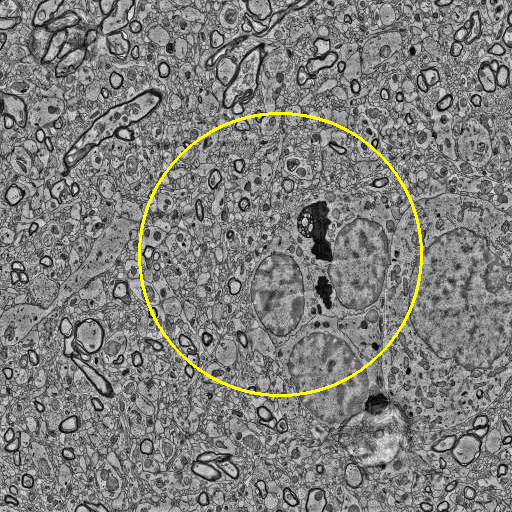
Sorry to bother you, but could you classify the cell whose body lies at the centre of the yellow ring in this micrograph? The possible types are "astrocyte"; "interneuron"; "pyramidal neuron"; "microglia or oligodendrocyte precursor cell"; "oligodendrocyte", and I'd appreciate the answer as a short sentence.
The ringed cell body is that of an oligodendrocyte.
